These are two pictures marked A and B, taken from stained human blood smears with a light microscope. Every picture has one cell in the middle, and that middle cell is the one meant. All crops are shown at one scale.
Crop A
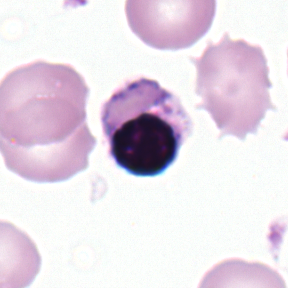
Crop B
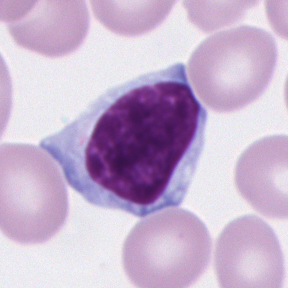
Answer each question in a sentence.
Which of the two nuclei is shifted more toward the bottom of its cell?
Seen within its cell, the nucleus in crop A lies further toward the bottom.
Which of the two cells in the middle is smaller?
Smaller is the cell in crop A, and the other is about 2.5 times as large in area.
